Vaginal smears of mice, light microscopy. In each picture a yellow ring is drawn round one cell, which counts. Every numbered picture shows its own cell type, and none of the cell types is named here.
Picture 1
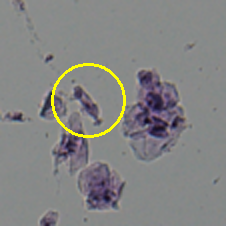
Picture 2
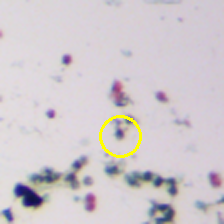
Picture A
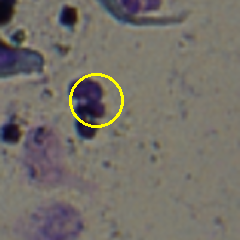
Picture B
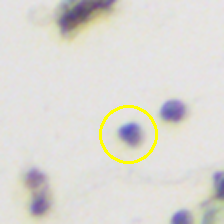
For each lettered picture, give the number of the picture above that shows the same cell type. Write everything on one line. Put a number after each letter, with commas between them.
A 2, B 2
